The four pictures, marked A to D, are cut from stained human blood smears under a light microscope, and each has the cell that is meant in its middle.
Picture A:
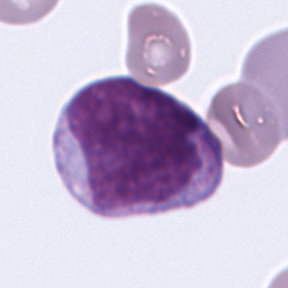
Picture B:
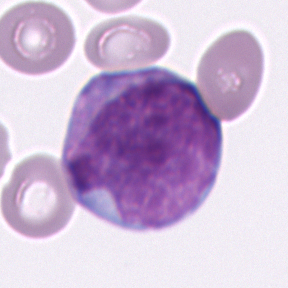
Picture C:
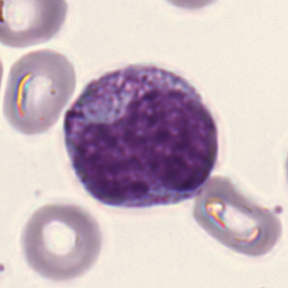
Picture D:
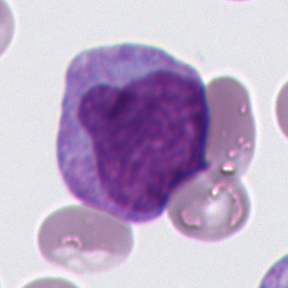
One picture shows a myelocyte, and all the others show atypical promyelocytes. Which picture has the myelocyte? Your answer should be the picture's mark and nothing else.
C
